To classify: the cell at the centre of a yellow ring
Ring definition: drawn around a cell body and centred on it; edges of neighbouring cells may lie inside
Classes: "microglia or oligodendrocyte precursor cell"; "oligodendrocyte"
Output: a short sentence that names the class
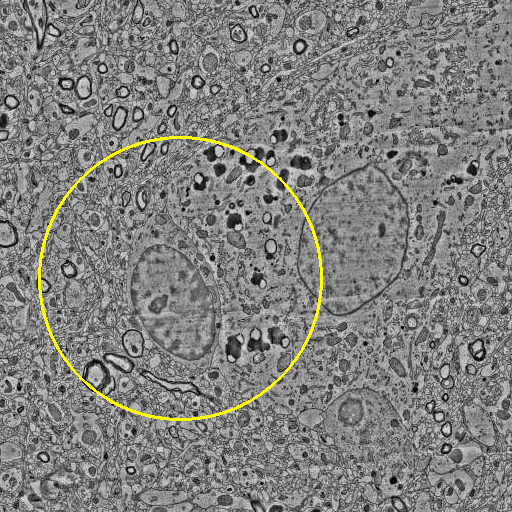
The ringed cell is an oligodendrocyte.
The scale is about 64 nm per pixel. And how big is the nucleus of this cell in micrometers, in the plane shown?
About 8 by 5 micrometres in this plane.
